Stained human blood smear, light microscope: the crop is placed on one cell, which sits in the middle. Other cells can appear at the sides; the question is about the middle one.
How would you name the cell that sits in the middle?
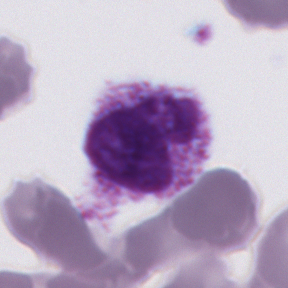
segmented neutrophil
